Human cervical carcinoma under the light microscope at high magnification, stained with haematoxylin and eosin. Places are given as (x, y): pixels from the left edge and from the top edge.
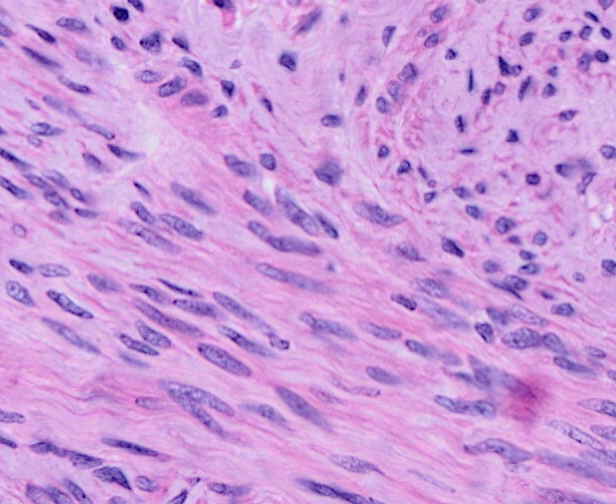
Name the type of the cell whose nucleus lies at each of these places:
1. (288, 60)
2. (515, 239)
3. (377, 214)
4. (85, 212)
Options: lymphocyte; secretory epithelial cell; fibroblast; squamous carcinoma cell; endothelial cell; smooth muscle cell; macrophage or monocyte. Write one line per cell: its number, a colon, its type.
1: fibroblast
2: smooth muscle cell
3: smooth muscle cell
4: smooth muscle cell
